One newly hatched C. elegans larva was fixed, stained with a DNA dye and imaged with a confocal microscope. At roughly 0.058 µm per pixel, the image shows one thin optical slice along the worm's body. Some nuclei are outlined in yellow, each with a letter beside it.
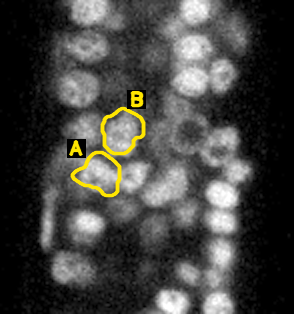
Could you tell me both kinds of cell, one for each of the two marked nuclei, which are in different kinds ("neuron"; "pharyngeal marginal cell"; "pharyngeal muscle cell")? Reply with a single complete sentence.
A is in a pharyngeal muscle cell and B is in a pharyngeal marginal cell.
